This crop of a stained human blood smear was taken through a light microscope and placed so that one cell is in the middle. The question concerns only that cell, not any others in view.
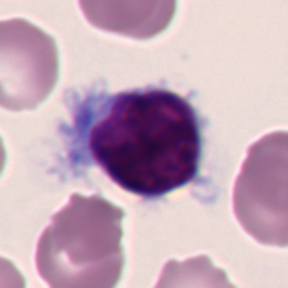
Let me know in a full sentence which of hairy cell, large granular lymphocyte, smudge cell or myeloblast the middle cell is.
In the crop, the cell of interest at the centre is a hairy cell.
